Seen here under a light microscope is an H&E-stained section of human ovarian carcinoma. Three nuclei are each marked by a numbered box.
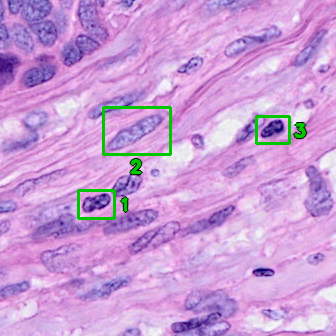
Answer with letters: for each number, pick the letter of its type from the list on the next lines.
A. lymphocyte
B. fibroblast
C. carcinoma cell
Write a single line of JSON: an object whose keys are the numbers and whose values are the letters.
{"1": "A", "2": "B", "3": "A"}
